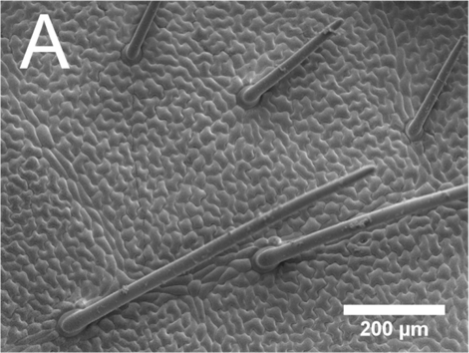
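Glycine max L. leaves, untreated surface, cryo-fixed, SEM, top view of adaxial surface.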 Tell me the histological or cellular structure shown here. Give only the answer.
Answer: hairs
